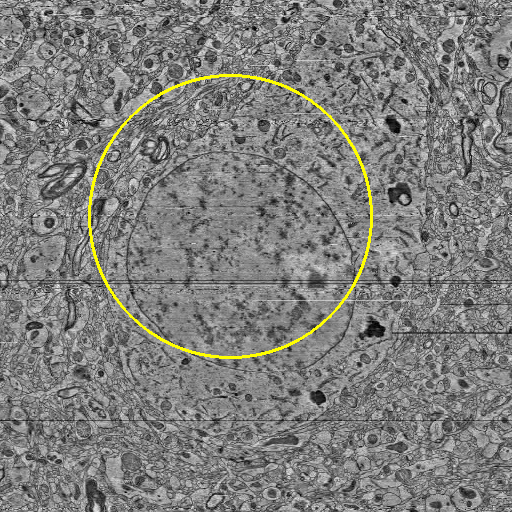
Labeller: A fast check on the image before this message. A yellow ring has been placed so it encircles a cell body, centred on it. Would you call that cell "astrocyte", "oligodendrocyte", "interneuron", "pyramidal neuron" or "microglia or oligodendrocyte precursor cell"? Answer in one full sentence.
In this image, a pyramidal neuron is the cell on which the yellow ring is centred.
